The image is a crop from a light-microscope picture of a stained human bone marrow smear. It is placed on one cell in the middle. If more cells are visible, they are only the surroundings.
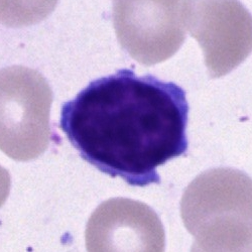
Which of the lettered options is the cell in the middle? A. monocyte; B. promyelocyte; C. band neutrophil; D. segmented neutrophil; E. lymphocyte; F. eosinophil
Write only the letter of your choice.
E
